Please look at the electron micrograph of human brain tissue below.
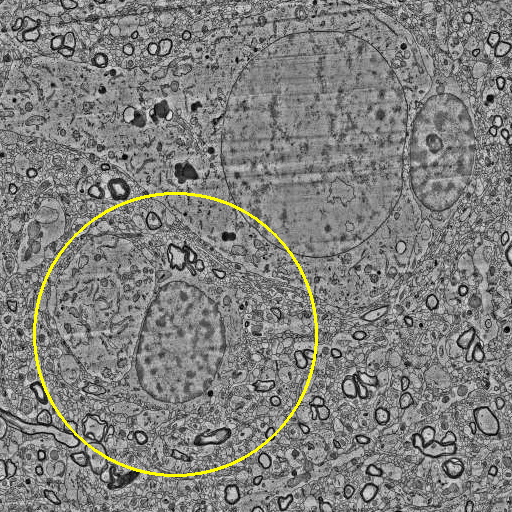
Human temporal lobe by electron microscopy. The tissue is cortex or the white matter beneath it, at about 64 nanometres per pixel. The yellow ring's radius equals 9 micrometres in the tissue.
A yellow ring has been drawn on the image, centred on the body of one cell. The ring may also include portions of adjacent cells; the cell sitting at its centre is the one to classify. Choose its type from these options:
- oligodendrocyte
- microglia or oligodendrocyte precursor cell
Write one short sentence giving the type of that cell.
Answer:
The cell in the middle of the ring is an oligodendrocyte.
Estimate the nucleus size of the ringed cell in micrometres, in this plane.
Approximately 8 x 6 micrometres in this plane.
